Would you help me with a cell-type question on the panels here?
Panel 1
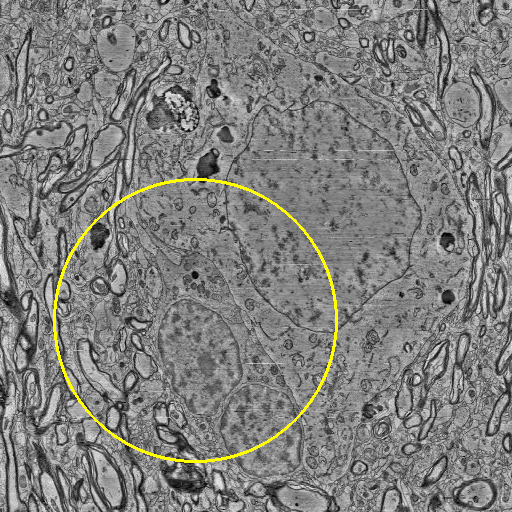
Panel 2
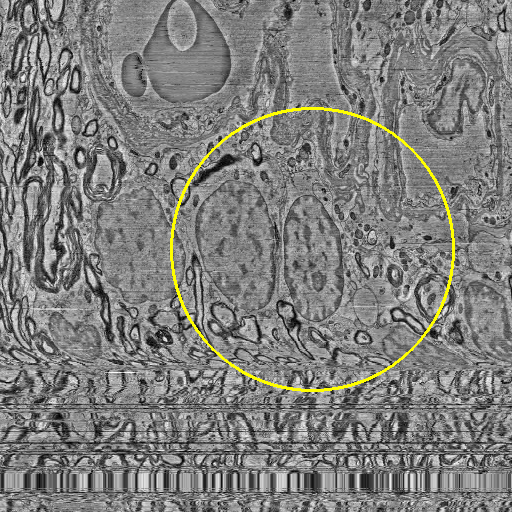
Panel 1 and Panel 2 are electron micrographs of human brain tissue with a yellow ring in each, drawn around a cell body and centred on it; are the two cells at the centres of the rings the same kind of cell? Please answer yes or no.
no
